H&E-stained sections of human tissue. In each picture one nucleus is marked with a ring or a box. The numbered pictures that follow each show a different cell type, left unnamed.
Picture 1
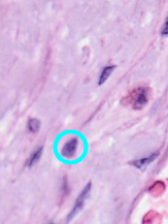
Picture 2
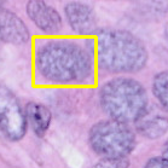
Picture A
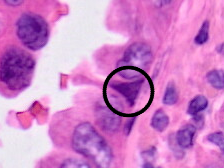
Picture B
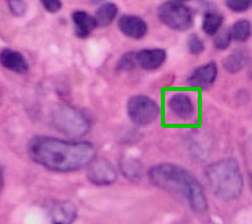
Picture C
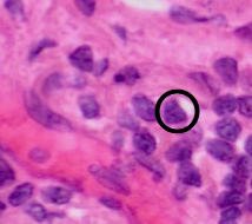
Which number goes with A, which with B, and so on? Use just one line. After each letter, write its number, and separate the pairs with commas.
A 2, B 1, C 1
